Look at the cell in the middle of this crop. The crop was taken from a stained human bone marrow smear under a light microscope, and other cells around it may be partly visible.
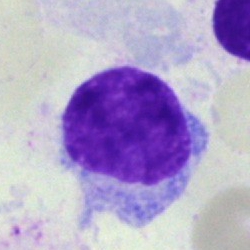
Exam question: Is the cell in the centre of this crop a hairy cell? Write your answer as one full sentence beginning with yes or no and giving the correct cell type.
Yes, the cell that the crop is centred on is a hairy cell.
